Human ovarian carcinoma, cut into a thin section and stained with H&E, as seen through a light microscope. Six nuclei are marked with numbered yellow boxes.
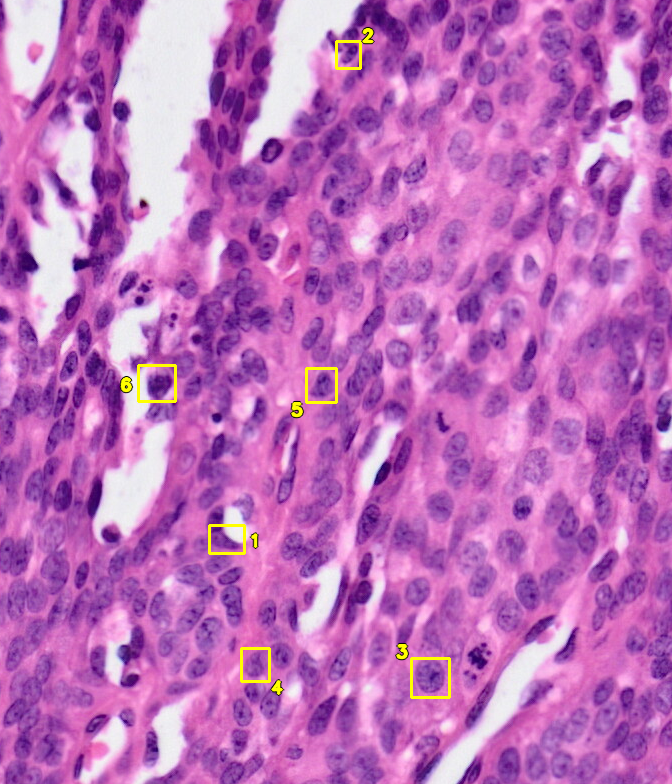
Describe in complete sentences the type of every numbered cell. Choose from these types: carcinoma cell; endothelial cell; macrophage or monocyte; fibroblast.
Cell 1 is a carcinoma cell, cell 2 is a macrophage or monocyte, cell 3 is a macrophage or monocyte, cell 4 is a carcinoma cell, cell 5 is a macrophage or monocyte and cell 6 is a carcinoma cell.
